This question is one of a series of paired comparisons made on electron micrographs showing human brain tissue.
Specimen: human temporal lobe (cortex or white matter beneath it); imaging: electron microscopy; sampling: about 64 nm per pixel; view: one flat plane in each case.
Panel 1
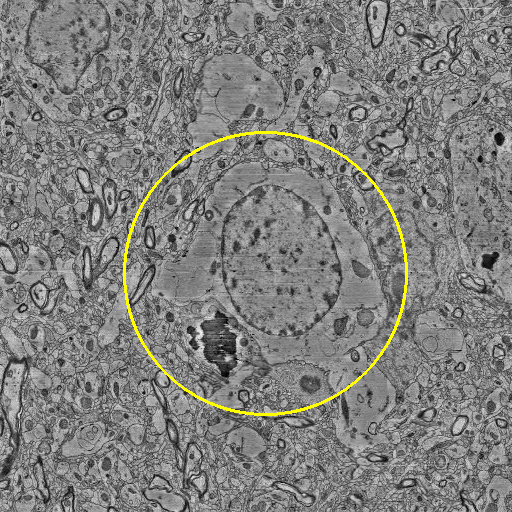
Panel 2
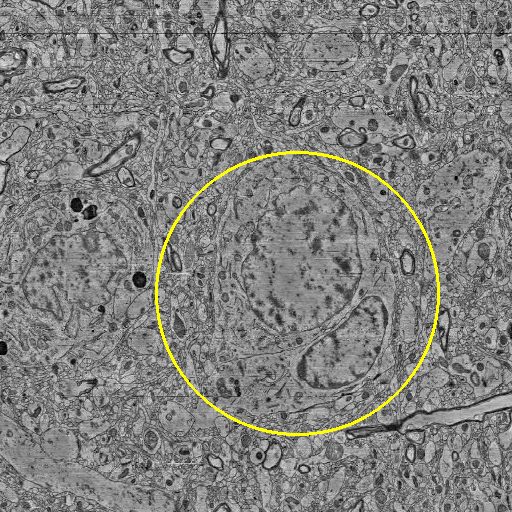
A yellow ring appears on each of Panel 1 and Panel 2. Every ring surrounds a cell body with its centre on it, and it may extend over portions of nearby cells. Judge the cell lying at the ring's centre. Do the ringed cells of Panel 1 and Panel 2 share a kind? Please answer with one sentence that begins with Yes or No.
No, the ring-centre cell in Panel 1 and the one in Panel 2 are of two kinds.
